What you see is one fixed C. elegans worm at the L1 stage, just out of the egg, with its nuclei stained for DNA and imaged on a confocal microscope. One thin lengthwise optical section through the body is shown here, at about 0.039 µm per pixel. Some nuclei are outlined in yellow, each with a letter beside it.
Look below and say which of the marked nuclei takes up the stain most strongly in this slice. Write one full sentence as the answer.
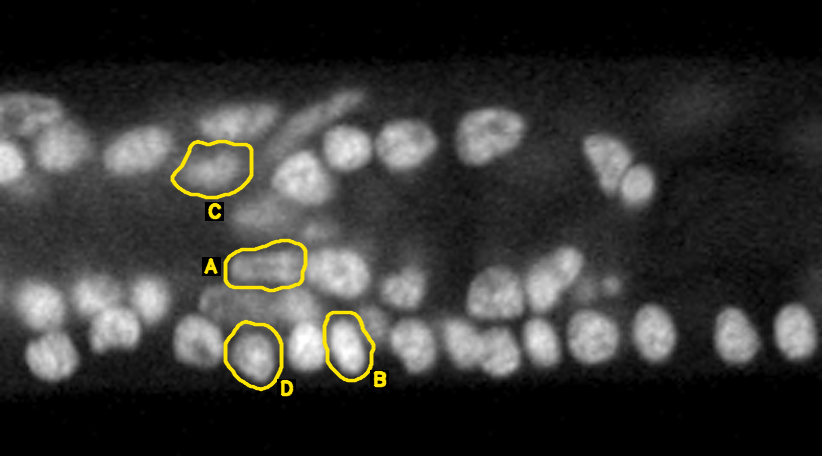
B is stained most strongly in this section.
